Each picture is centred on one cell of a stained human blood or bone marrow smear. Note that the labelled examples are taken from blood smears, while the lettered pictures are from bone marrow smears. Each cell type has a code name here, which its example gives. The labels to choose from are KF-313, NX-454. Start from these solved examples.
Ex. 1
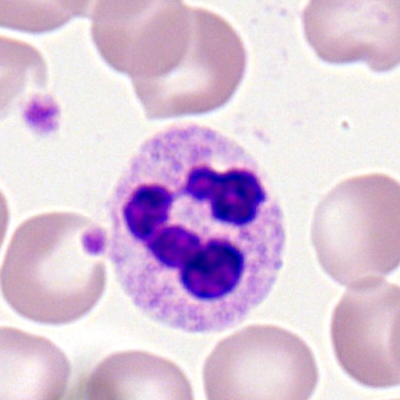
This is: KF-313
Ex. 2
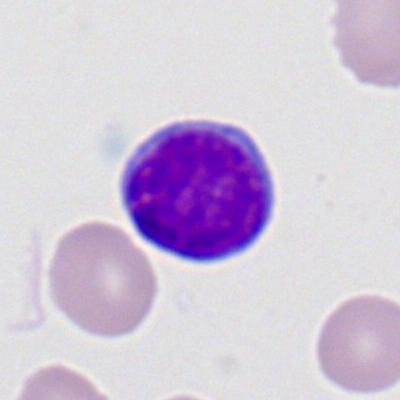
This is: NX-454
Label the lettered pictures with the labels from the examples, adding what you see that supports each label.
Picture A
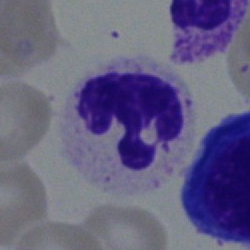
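KF-313. The cytoplasm is abundant and very pale.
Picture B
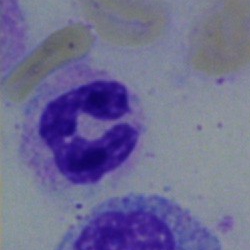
KF-313. The nucleus is curved into a C shape.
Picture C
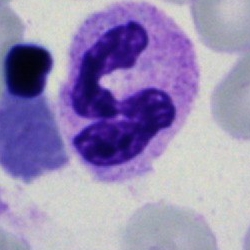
KF-313. The cytoplasm is abundant and pale pinkish-lilac.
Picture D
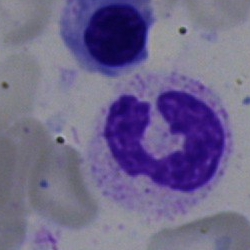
KF-313. The nucleus is curved into a horseshoe shape whose gap opens upward.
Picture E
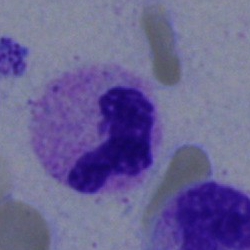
KF-313. The cytoplasm is plentiful and pale pinkish-lilac.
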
